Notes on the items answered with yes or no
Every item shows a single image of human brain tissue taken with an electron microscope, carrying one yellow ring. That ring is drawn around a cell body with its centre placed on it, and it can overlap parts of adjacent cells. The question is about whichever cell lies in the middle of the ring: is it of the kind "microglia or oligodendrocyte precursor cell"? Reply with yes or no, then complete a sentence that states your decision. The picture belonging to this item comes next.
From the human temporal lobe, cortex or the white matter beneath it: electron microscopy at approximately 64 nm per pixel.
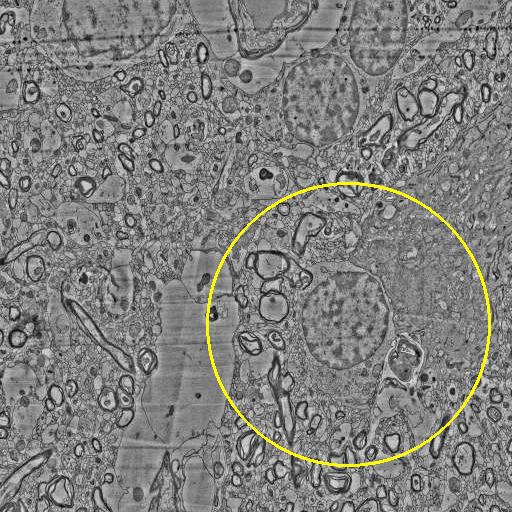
No, this micrograph shows a cell of another kind in the middle of the ring.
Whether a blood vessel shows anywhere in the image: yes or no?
Yes, one appears.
